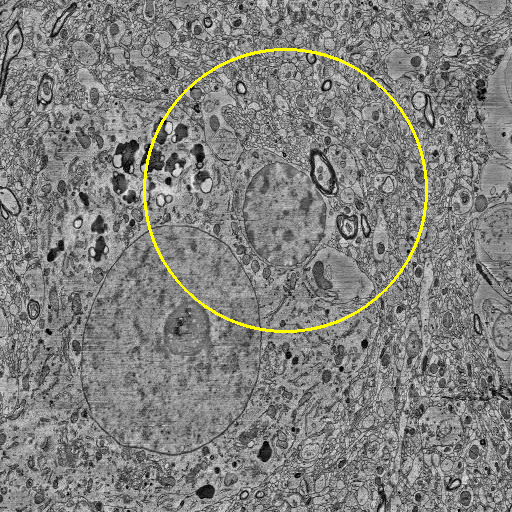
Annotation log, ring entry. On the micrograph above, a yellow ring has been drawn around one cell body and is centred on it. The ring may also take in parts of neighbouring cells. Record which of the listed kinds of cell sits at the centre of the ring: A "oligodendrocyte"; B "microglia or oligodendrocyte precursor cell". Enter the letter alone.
A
